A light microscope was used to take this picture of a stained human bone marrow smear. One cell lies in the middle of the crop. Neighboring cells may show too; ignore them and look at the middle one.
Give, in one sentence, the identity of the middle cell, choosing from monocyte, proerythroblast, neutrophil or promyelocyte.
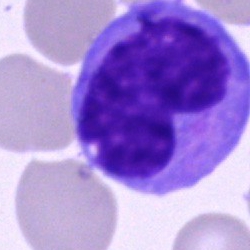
Here the centrally located cell is a monocyte.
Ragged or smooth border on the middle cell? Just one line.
Nothing juts out from the margin, which is smooth throughout.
